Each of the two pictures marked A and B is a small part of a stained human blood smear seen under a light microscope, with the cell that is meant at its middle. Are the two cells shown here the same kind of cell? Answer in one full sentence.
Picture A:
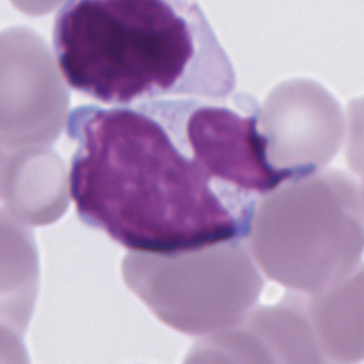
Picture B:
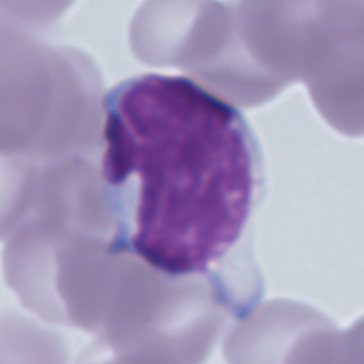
Yes; the cells in both pictures are large granular lymphocytes.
